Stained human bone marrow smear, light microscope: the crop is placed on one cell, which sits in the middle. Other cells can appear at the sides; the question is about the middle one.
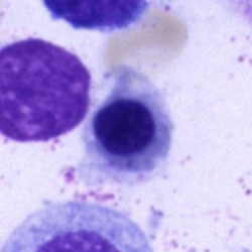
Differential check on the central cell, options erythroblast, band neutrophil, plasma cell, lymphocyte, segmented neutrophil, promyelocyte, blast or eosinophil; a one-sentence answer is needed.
Positioned in the middle of the crop is an erythroblast.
